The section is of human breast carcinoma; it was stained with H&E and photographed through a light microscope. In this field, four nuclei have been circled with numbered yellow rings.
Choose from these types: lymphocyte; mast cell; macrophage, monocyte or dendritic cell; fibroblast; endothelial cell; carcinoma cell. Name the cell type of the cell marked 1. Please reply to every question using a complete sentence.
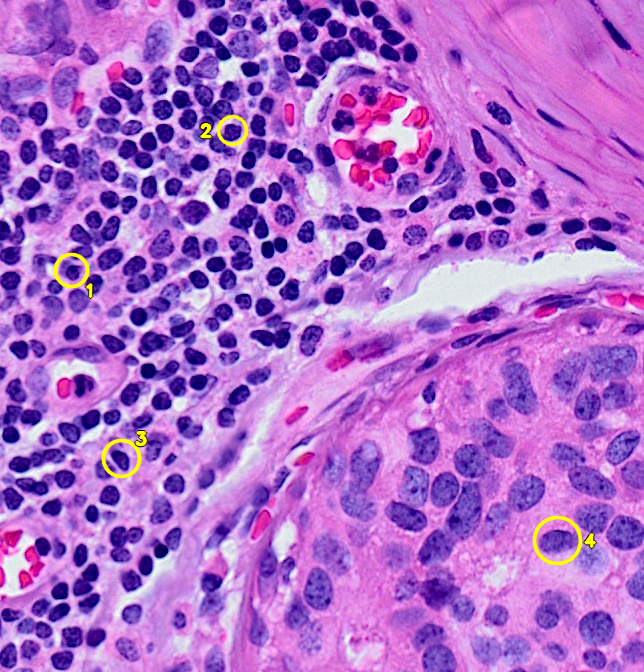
To a lymphocyte belongs the nucleus marked 1.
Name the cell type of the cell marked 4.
Nucleus 4 in this section belongs to a carcinoma cell.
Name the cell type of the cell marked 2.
To a lymphocyte belongs the nucleus marked 2.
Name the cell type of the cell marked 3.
The numbered cell 3 in this field is a lymphocyte.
